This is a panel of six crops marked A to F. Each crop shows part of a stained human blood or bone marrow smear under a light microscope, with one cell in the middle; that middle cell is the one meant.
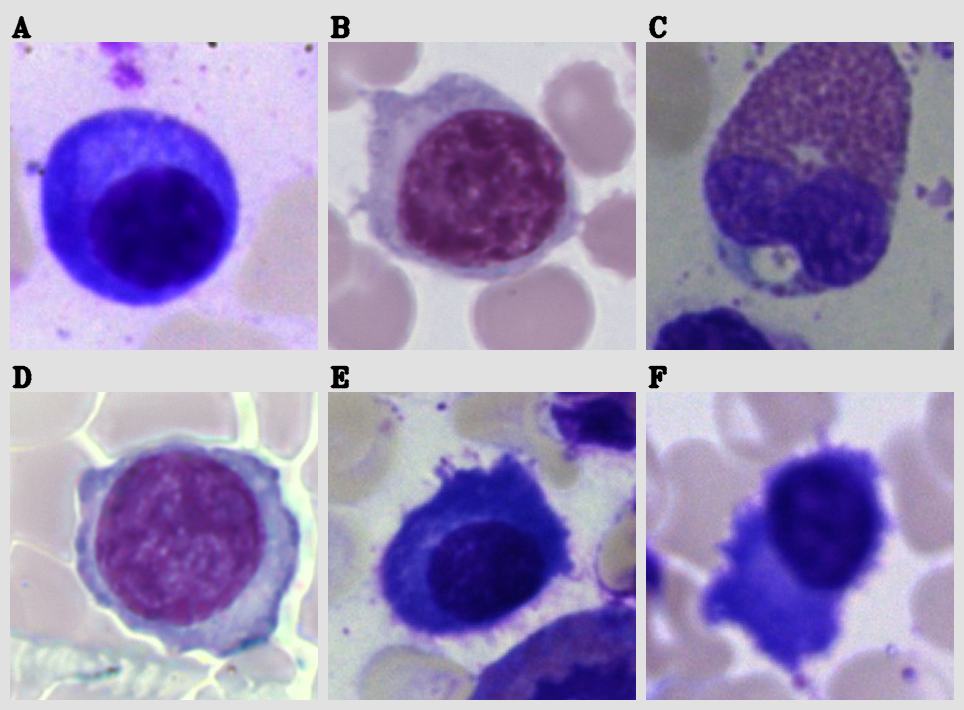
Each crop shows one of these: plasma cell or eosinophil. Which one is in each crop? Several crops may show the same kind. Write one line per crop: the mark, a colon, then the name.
A: plasma cell
B: plasma cell
C: eosinophil
D: plasma cell
E: plasma cell
F: plasma cell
